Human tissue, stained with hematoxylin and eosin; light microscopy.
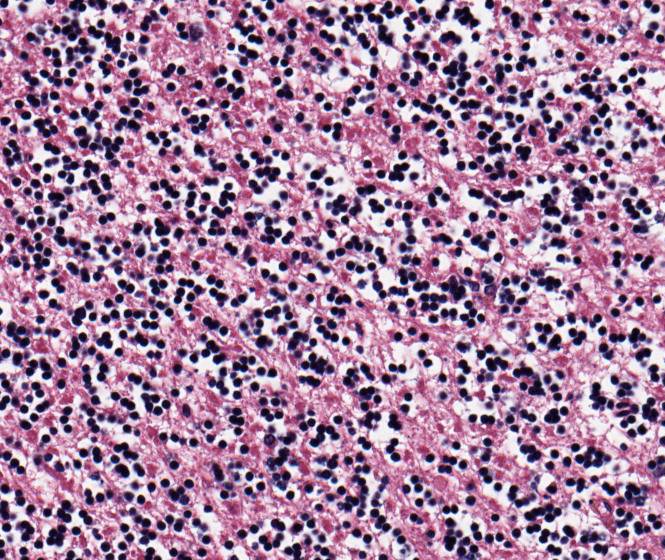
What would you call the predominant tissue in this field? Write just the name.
granular layer of the cerebellum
